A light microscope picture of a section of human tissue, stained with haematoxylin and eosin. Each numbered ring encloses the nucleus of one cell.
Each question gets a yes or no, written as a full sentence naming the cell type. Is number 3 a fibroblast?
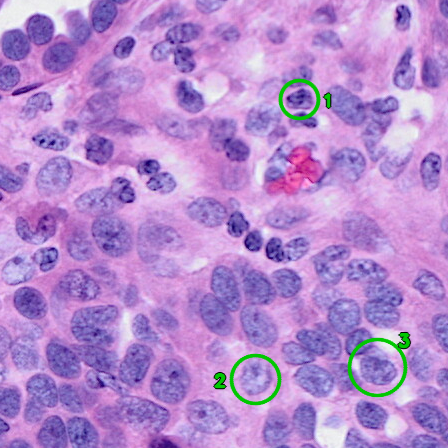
No, with respect, cell 3 is a carcinoma cell rather than a fibroblast.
